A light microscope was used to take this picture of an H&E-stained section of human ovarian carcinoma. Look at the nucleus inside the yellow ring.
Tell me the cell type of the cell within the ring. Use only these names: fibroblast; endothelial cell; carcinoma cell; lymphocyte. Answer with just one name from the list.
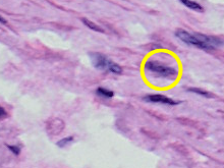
fibroblast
